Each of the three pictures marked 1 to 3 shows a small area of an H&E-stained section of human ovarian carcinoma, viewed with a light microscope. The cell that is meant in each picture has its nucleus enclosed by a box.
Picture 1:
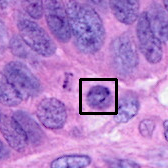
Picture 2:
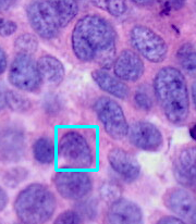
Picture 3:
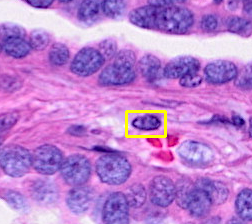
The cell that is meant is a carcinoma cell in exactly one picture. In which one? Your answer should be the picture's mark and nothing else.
2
